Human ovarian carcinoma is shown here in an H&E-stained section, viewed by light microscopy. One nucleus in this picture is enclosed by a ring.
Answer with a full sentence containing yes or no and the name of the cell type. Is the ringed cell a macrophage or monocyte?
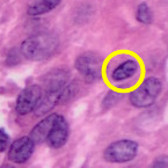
Yes, that the ringed cell is a macrophage or monocyte is correct.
